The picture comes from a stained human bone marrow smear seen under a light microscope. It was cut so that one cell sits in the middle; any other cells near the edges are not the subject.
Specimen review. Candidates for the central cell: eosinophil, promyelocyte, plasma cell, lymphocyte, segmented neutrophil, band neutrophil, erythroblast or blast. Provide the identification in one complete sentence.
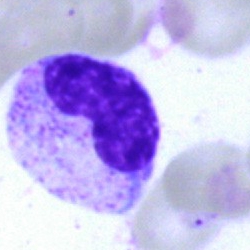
The central cell, amid any neighbouring cells, is a band neutrophil.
